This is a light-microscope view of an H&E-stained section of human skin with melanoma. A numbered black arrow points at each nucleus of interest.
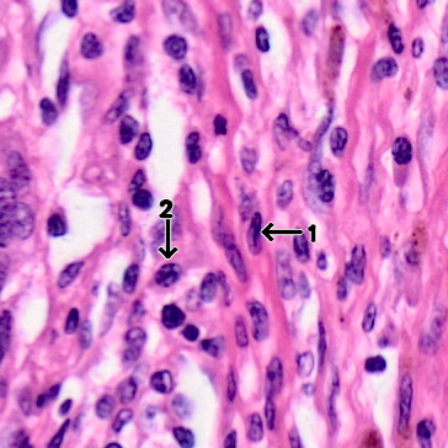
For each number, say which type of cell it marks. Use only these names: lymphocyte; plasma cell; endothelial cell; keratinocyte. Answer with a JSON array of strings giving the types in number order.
["lymphocyte", "plasma cell"]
